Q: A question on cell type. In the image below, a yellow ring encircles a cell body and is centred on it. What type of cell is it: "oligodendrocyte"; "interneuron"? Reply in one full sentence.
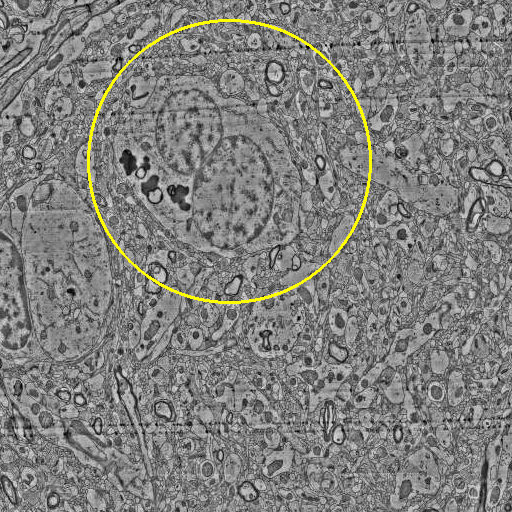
It is an interneuron whose cell body sits at the centre of the yellow ring in the image.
